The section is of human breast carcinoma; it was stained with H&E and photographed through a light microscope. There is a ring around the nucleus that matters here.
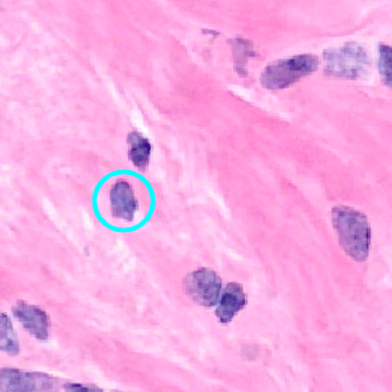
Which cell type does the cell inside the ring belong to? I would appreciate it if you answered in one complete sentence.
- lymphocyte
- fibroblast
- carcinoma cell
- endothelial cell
As to its cell type, the cell inside the ring is a lymphocyte.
